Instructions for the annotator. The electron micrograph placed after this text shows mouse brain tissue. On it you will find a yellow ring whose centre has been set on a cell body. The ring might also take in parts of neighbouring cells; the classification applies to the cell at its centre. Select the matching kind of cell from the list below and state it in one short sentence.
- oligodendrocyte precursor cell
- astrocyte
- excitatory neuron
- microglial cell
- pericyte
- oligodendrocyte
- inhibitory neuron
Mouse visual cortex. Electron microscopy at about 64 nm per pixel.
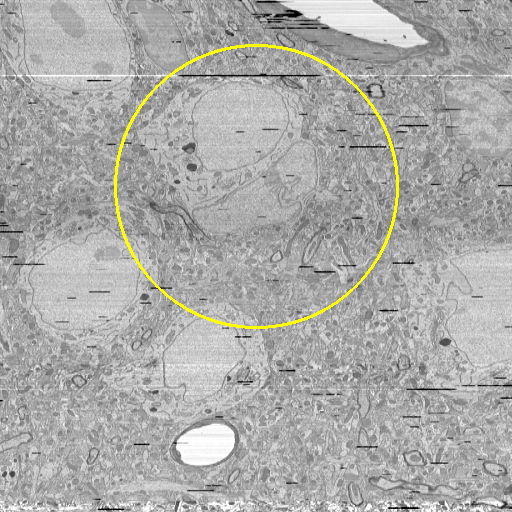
The ring is drawn on the cell body of an oligodendrocyte precursor cell.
